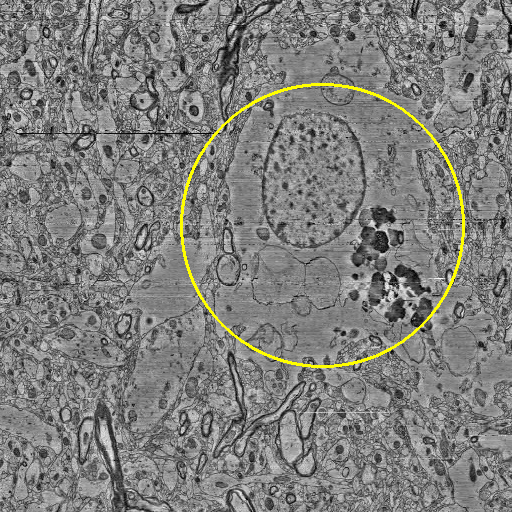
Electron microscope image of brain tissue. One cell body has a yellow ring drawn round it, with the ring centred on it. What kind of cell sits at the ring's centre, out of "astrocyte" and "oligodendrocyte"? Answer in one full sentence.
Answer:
It is an astrocyte whose cell body sits at the centre of the yellow ring.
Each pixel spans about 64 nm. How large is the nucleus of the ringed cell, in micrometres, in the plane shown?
The nucleus of the ringed cell is approximately 9 by 7 micrometres in this plane.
